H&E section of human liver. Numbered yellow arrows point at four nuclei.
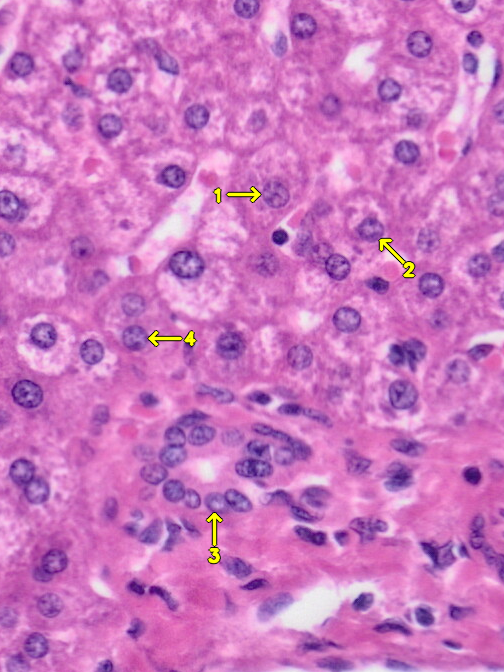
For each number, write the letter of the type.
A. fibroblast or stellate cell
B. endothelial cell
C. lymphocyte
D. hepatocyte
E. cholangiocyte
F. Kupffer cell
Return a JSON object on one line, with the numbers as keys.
{"1": "D", "2": "D", "3": "E", "4": "D"}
